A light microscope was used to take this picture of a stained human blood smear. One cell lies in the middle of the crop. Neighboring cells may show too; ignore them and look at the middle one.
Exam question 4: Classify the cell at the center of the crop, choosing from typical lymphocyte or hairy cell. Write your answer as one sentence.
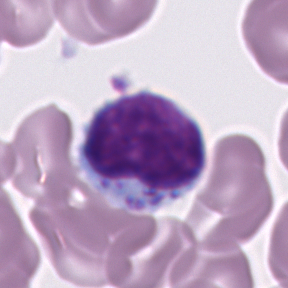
Centrally within this crop lies a typical lymphocyte.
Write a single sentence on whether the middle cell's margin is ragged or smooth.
Its outline is ragged or drawn out into projections, not smooth.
